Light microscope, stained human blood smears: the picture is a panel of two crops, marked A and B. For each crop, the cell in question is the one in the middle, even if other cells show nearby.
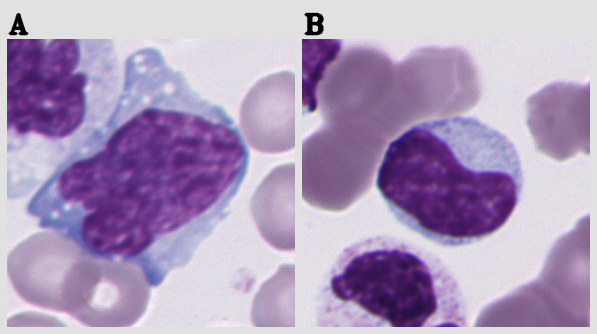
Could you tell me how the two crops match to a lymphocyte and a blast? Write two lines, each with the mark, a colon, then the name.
A: blast
B: lymphocyte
